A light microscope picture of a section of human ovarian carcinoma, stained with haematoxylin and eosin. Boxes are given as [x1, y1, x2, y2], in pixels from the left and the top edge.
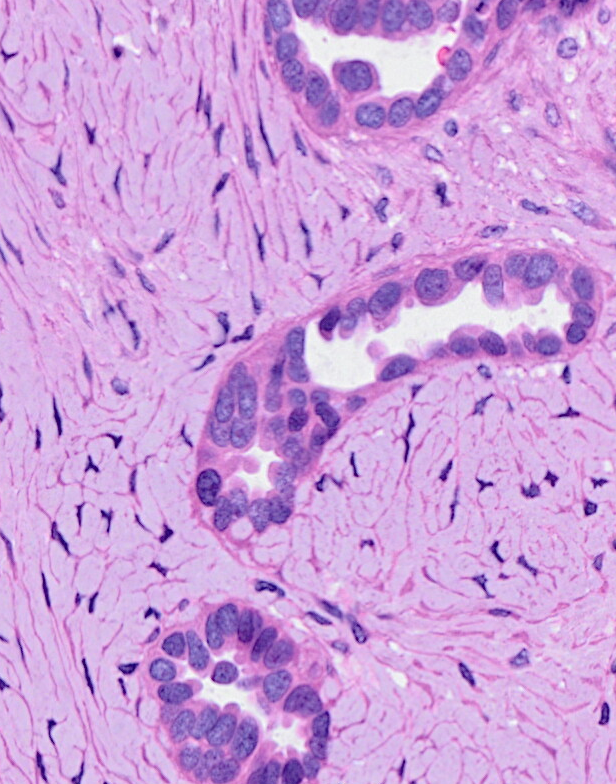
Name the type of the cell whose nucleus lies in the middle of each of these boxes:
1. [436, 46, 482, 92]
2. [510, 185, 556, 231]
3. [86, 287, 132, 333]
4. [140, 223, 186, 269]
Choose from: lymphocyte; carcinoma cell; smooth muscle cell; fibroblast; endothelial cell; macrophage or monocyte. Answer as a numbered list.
1. carcinoma cell
2. fibroblast
3. fibroblast
4. fibroblast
